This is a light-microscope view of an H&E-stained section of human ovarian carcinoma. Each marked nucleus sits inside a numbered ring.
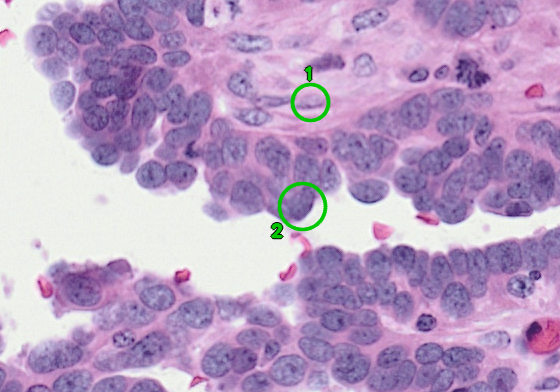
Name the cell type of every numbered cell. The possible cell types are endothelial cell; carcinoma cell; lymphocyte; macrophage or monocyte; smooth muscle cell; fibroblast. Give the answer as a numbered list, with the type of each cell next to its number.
1. fibroblast
2. carcinoma cell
